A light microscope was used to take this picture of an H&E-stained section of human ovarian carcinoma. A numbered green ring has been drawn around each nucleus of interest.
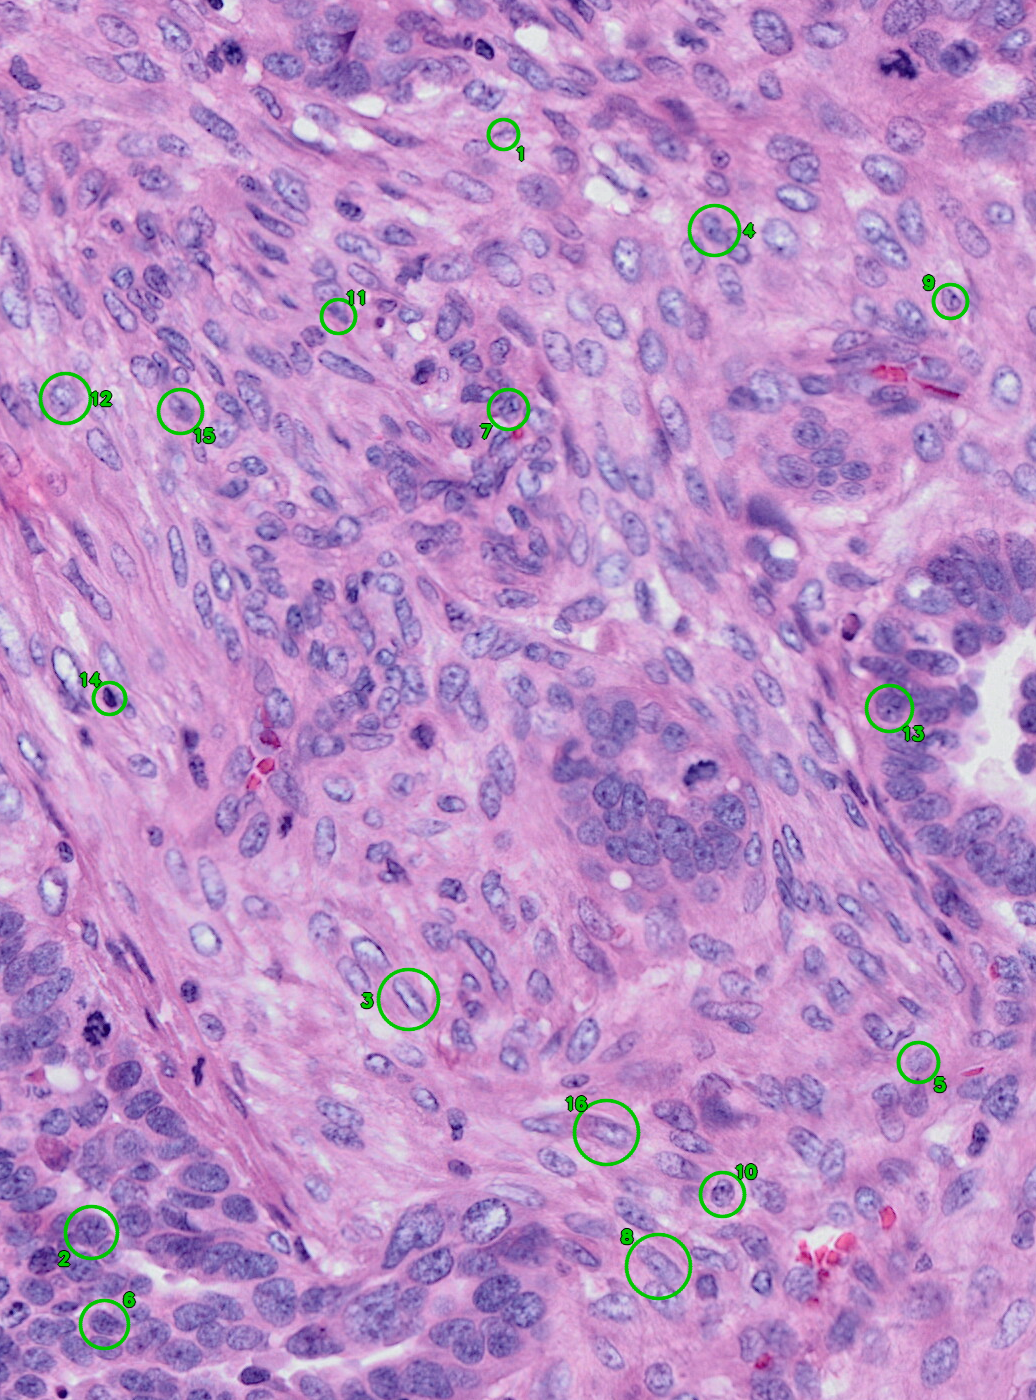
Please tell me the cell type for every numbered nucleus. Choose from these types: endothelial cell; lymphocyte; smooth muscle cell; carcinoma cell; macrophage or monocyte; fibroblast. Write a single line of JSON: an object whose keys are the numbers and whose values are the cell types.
{"1": "fibroblast", "2": "carcinoma cell", "3": "fibroblast", "4": "fibroblast", "5": "fibroblast", "6": "carcinoma cell", "7": "endothelial cell", "8": "fibroblast", "9": "macrophage or monocyte", "10": "macrophage or monocyte", "11": "fibroblast", "12": "fibroblast", "13": "carcinoma cell", "14": "lymphocyte", "15": "fibroblast", "16": "fibroblast"}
